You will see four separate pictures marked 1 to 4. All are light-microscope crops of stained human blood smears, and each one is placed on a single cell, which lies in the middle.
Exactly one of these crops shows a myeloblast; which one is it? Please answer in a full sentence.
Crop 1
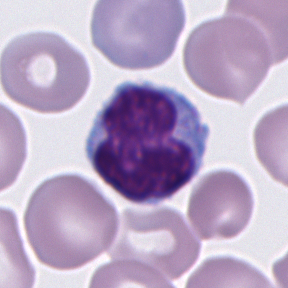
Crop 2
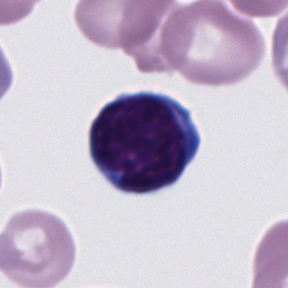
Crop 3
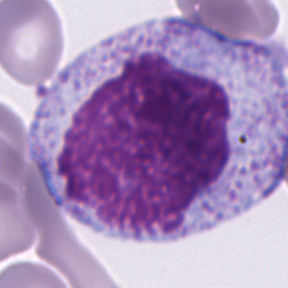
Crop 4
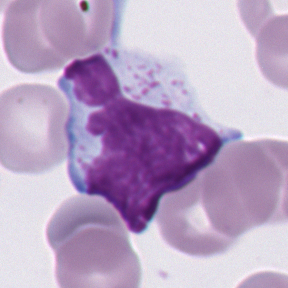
It is crop 2 that shows a myeloblast.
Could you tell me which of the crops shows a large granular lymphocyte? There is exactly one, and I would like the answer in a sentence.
Crop 4 is where a large granular lymphocyte is shown.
